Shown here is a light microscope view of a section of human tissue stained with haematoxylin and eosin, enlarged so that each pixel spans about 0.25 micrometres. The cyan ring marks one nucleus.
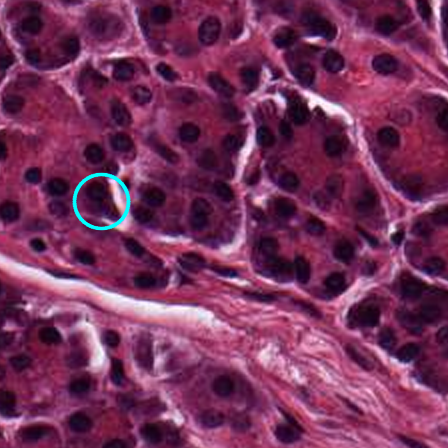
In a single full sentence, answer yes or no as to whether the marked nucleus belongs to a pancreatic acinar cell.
Yes, the cell that holds the marked nucleus is a pancreatic acinar cell.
